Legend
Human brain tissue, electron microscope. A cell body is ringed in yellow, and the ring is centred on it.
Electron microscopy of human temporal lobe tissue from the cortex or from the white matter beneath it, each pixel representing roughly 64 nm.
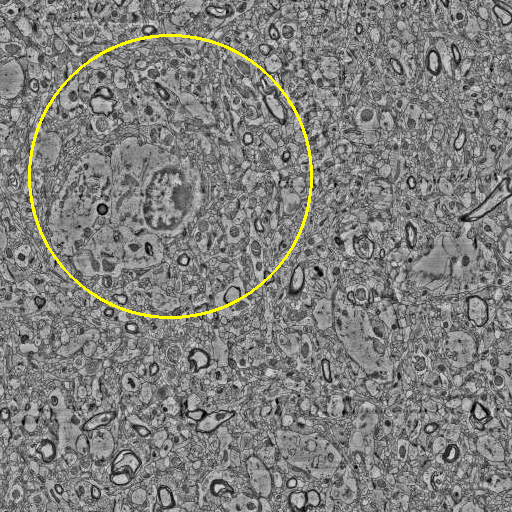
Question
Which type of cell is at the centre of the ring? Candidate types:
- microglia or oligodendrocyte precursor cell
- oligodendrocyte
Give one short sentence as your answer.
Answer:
The yellow ring is centred here on a microglial cell or oligodendrocyte precursor cell.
